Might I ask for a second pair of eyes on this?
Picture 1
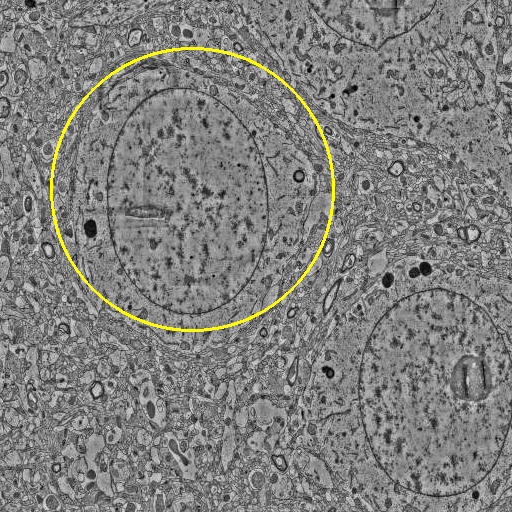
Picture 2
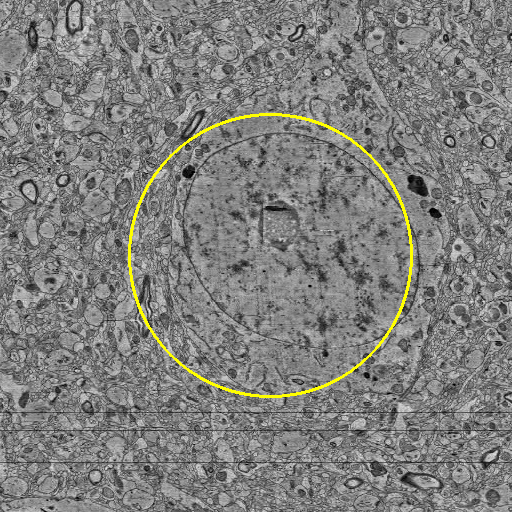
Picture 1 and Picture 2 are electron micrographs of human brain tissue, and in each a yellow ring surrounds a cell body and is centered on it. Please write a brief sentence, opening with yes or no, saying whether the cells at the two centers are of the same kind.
Yes, the cells are of the same kind.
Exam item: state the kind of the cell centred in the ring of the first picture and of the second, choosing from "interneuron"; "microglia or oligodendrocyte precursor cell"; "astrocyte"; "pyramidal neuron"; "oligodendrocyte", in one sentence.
Each cell at the centre of a ring is a pyramidal neuron.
